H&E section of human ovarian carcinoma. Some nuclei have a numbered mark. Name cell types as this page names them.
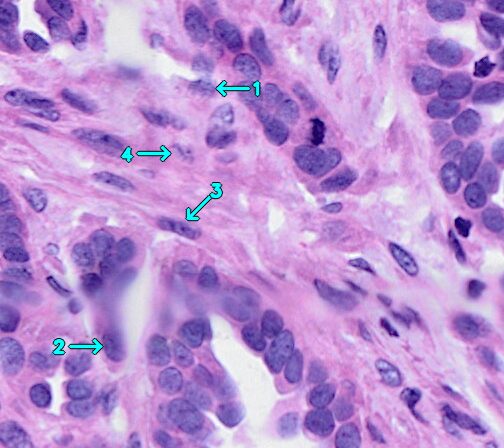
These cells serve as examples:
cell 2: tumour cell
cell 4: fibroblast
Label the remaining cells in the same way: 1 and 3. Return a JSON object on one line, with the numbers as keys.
{"1": "fibroblast", "3": "fibroblast"}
